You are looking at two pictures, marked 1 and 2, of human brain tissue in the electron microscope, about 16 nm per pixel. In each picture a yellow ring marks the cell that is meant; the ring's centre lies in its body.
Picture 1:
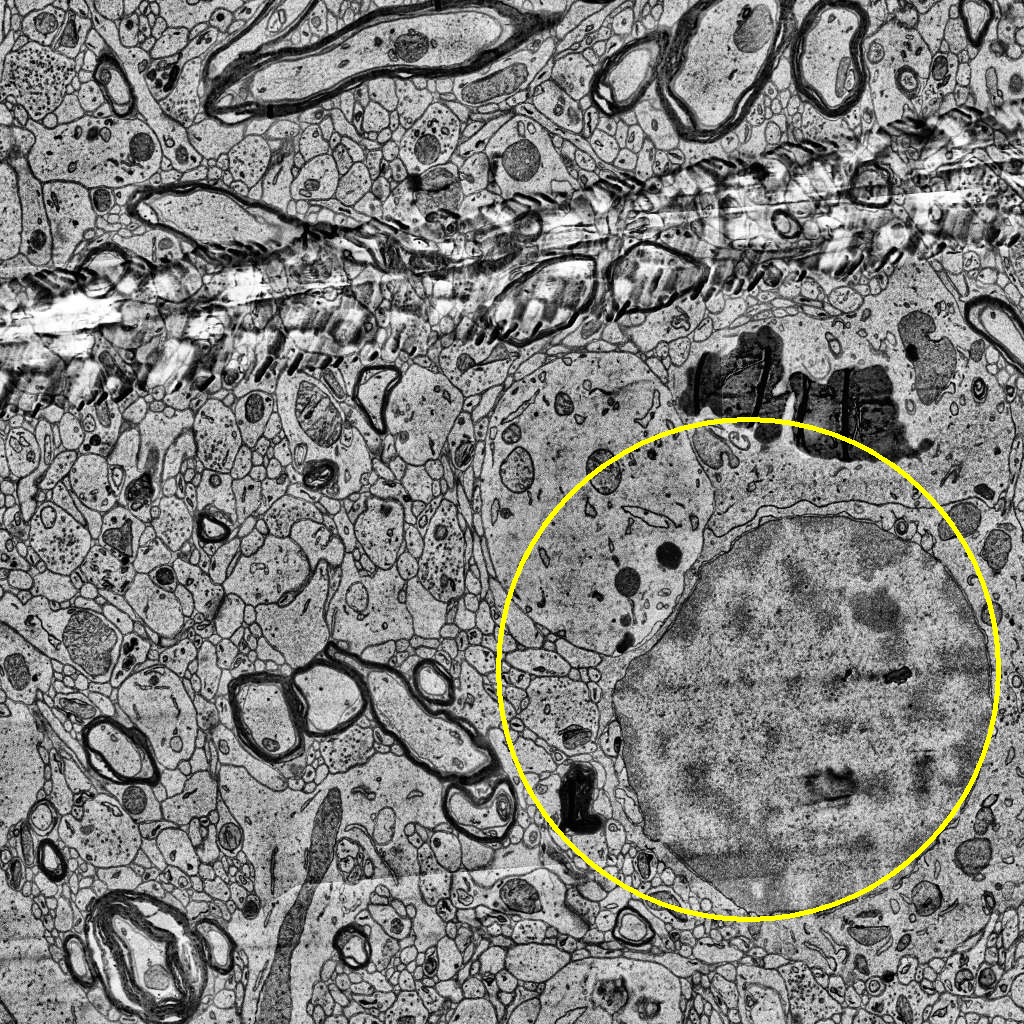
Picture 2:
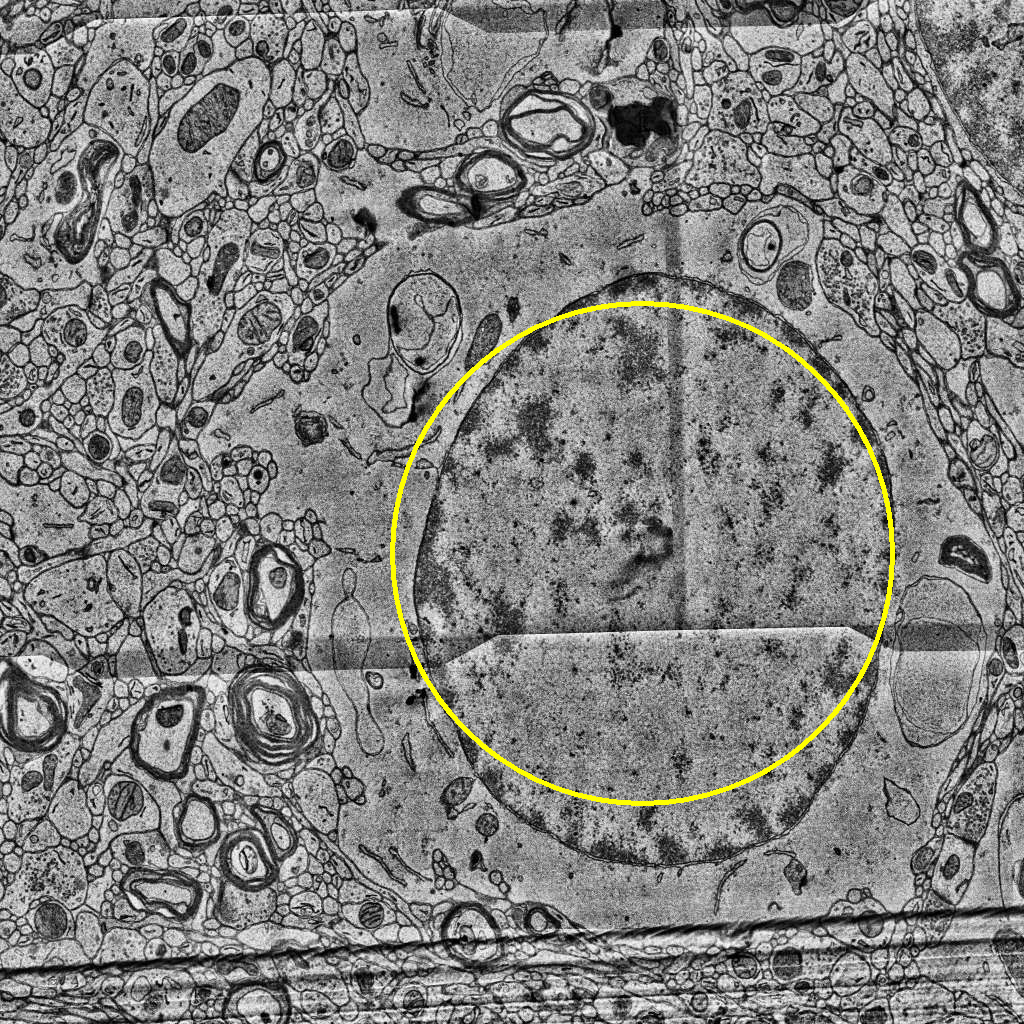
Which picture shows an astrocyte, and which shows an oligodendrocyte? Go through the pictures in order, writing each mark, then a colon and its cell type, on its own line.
1: oligodendrocyte
2: astrocyte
